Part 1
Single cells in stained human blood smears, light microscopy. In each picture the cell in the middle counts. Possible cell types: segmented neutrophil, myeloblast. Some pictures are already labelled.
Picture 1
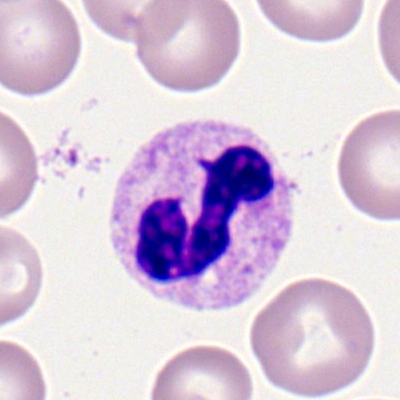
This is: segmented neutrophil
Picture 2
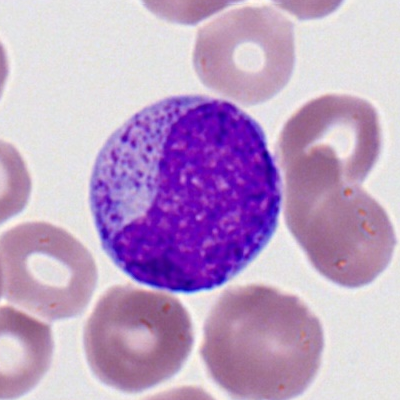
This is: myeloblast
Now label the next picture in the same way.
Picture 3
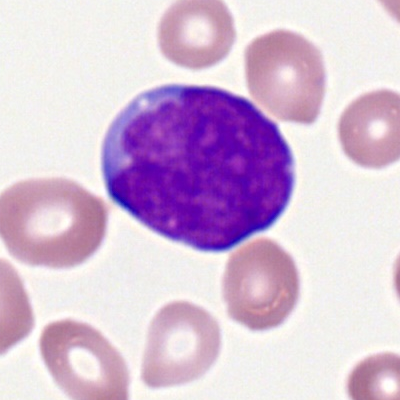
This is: myeloblast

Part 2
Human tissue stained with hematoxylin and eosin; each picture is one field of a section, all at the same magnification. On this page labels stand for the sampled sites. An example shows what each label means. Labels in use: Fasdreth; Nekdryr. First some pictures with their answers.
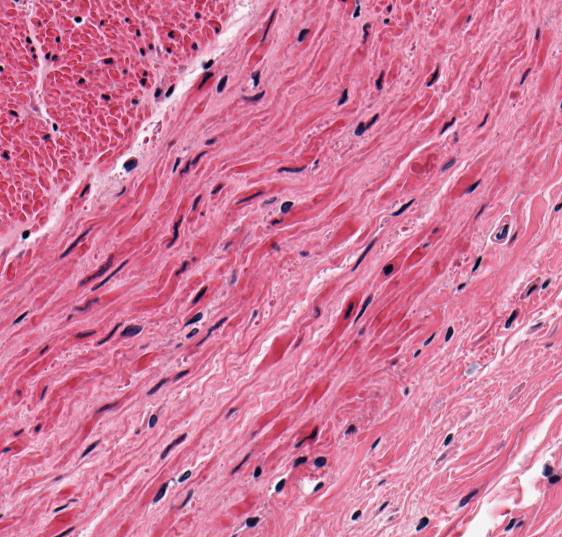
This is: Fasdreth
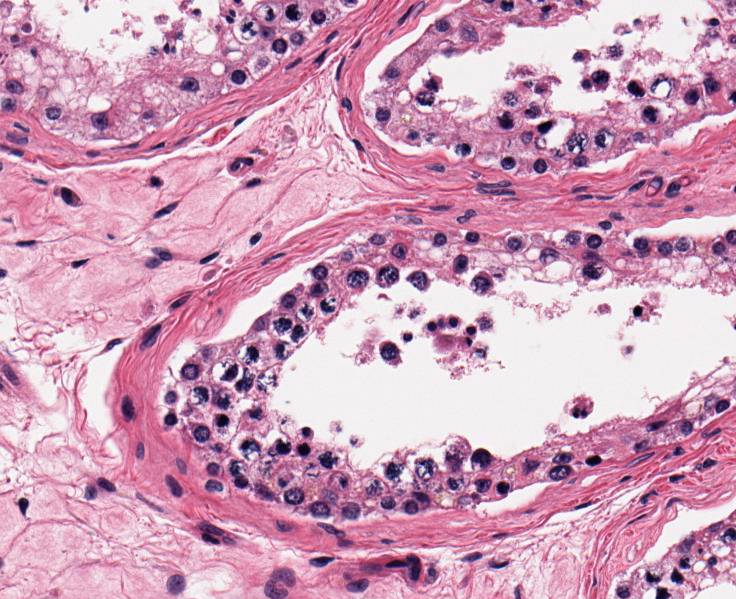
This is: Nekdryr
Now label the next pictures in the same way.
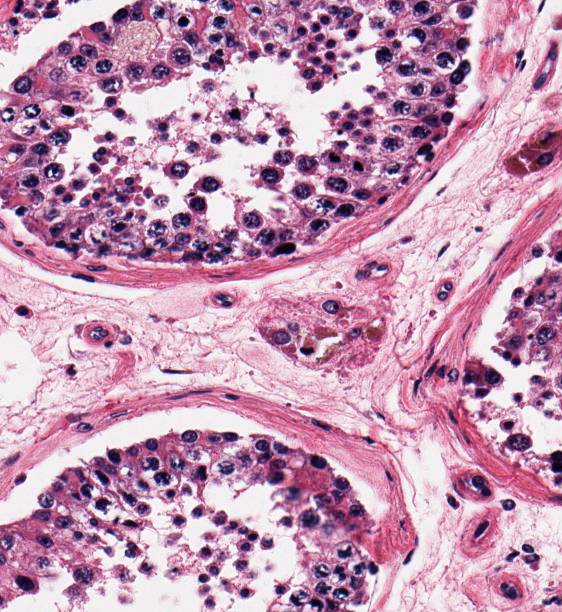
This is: Nekdryr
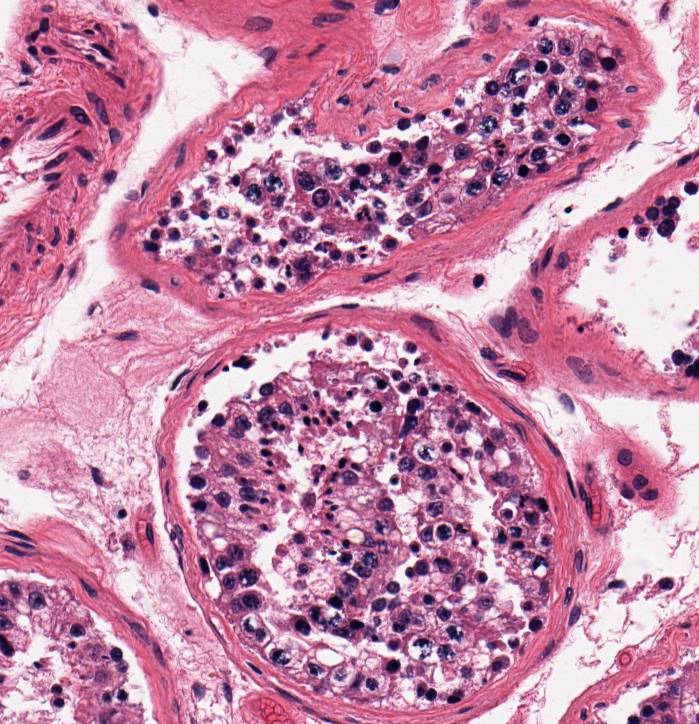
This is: Nekdryr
